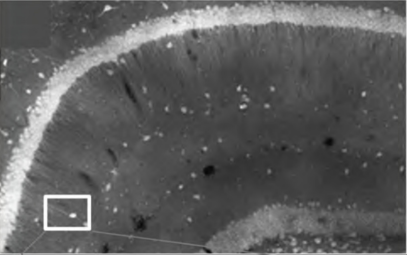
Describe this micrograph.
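This is a stretch of hippocampus with the pyramidal cell layer curving across the upper part as a narrow bright band of tightly packed round cell bodies. Below the band, fine radial striations run away from it, like the shafts of dendrites in the layer beneath. Scattered single bright cell bodies lie isolated in the wider, more dimly labeled region below. A second band of packed cells appears along the lower right edge, and a few dark spots mark vessels cut across.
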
